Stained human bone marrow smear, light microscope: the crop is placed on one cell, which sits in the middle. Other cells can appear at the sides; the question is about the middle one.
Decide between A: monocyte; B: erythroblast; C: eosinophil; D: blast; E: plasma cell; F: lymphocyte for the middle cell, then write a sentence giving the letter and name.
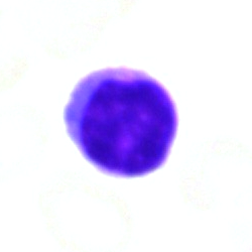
That cell in the center is a lymphocyte, hence option F.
